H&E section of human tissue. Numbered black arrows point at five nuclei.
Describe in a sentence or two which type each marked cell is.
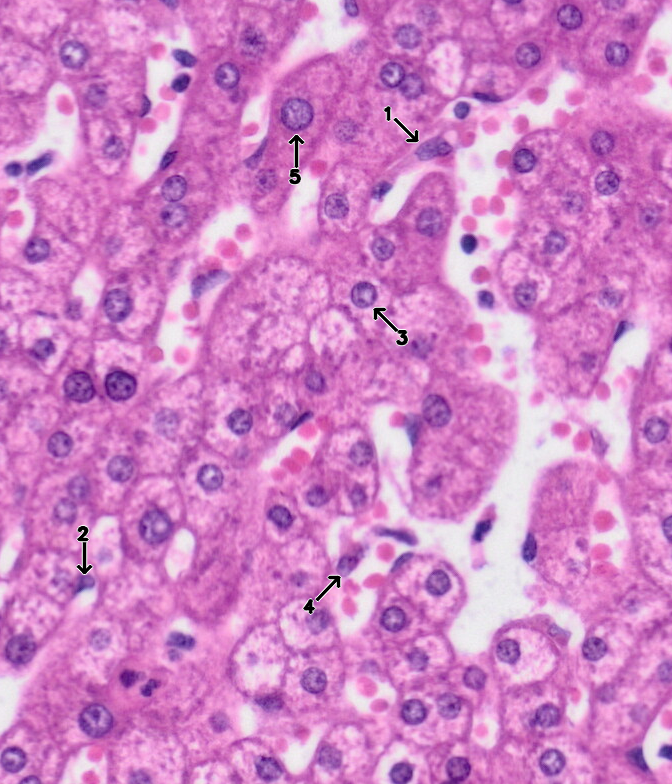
Cell 1 is a Kupffer cell, cell 2 is an endothelial cell, cell 3 is a hepatocyte, cell 4 is a Kupffer cell and cell 5 is a hepatocyte.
